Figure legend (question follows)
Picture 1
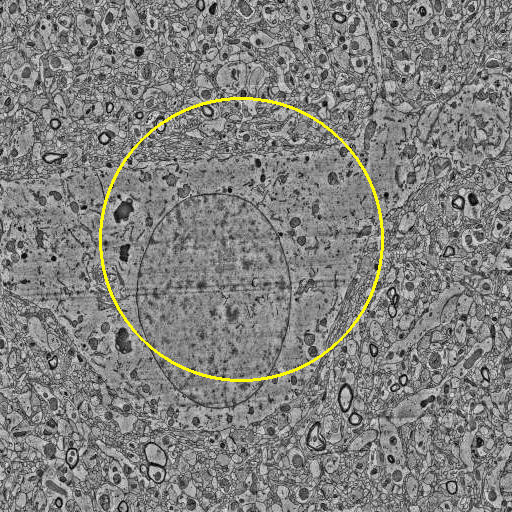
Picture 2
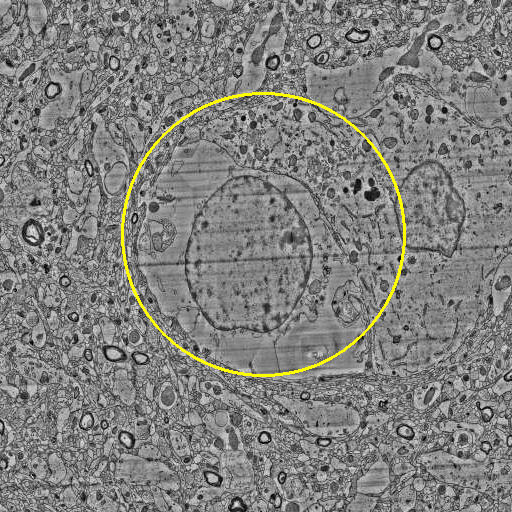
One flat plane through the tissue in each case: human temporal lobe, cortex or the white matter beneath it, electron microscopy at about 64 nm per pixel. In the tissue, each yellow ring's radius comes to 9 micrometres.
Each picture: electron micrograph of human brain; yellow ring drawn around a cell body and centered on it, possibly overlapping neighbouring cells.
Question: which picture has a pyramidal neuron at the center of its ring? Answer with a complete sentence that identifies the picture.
Picture 1 has it at the center of its ring.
